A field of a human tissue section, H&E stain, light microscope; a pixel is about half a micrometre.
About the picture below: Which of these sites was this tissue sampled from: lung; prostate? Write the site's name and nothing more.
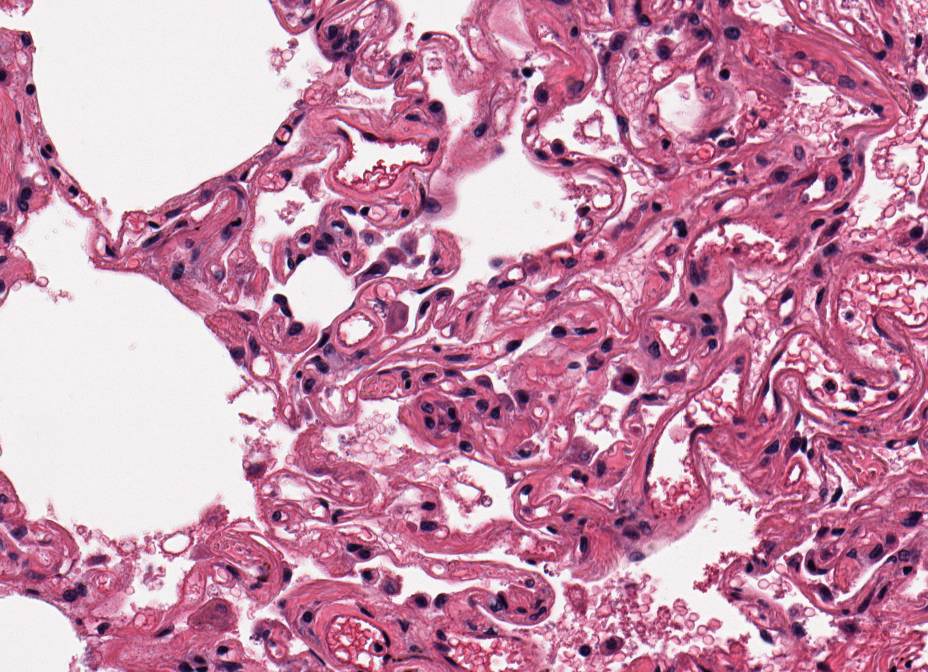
lung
